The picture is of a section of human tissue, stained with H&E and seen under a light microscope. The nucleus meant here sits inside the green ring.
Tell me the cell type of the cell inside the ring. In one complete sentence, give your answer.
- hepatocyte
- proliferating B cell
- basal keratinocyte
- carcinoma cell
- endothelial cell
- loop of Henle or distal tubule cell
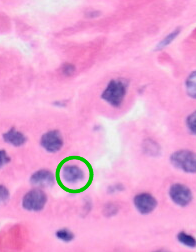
The identity of the cell inside the ring: it is a loop of Henle or distal tubule cell.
